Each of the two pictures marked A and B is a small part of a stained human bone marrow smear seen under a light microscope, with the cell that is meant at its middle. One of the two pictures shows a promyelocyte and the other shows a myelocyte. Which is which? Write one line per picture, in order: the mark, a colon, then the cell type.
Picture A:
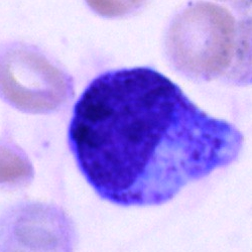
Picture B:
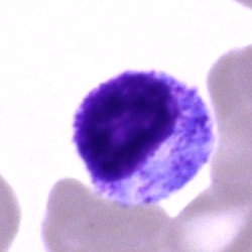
A: promyelocyte
B: myelocyte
